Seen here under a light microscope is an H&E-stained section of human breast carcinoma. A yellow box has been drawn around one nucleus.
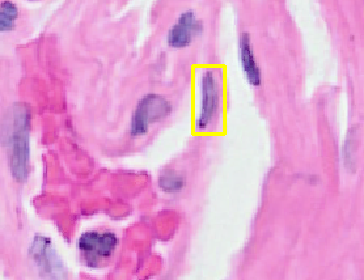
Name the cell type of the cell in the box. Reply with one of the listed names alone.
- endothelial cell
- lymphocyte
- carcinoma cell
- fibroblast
endothelial cell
